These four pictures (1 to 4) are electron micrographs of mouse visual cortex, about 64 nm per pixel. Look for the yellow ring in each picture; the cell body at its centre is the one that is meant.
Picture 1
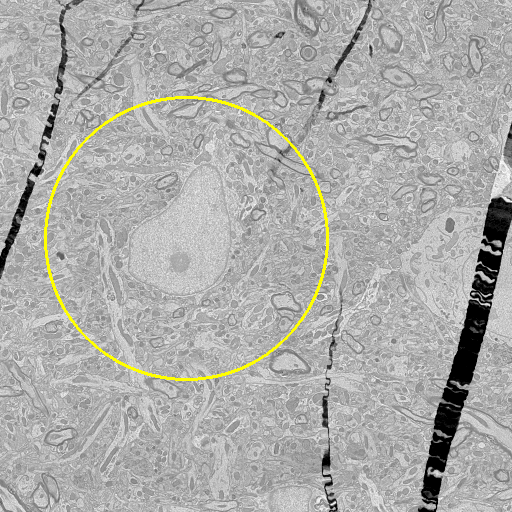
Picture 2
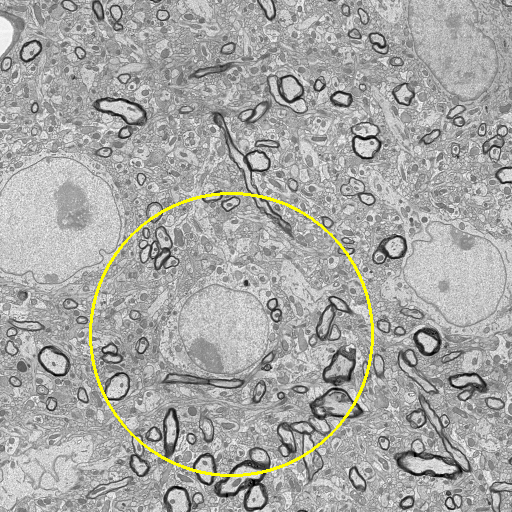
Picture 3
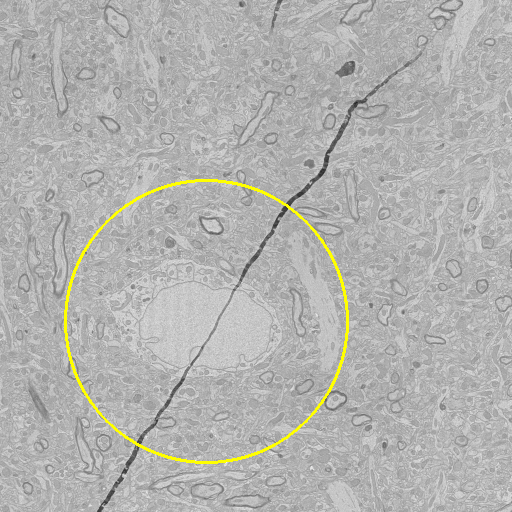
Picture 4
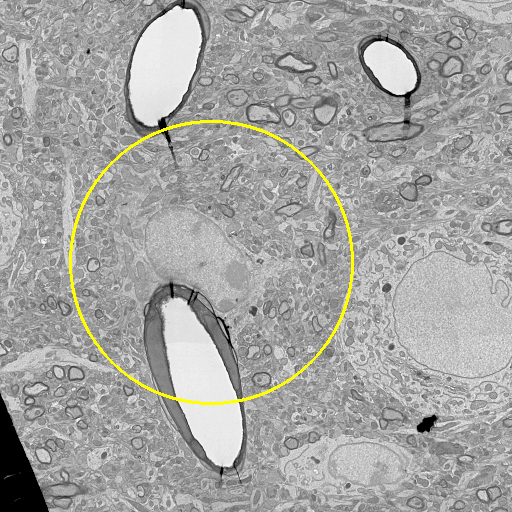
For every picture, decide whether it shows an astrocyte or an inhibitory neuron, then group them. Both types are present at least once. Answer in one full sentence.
Pictures 1, 2 and 4 show astrocytes, while picture 3 shows an inhibitory neuron.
